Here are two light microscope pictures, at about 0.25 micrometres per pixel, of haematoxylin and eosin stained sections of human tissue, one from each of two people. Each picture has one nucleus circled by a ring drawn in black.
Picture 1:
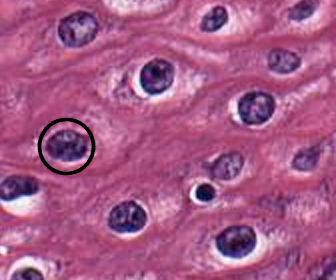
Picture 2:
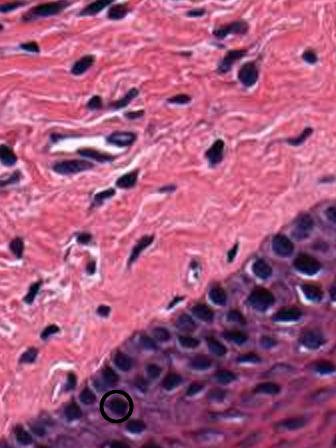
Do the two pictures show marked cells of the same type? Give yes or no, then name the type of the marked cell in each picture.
Yes, both are squamous epithelial cells.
